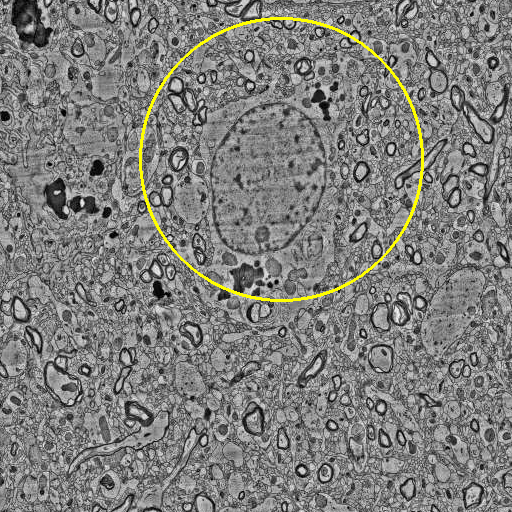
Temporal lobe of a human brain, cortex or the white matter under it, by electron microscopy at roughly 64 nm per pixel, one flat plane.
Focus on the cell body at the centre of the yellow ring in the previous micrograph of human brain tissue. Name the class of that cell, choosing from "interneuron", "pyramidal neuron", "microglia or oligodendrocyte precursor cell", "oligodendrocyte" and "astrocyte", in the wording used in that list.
astrocyte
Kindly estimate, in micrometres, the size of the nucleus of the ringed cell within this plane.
In this plane the nucleus is about 10 micrometres by 7.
